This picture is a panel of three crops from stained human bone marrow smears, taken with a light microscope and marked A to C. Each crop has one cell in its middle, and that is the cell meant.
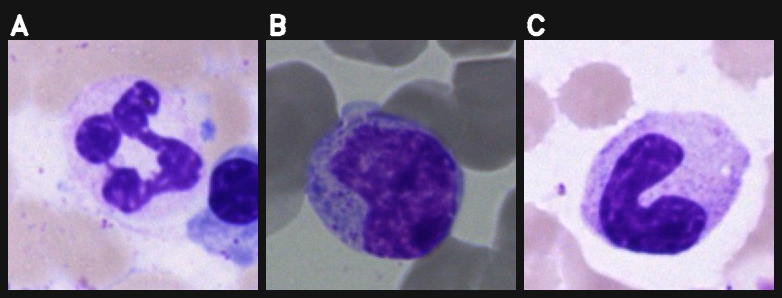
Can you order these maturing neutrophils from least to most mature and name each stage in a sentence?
From youngest to most mature, the cells go crop B (a metamyelocyte), crop C (a band neutrophil) and crop A (a segmented neutrophil).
